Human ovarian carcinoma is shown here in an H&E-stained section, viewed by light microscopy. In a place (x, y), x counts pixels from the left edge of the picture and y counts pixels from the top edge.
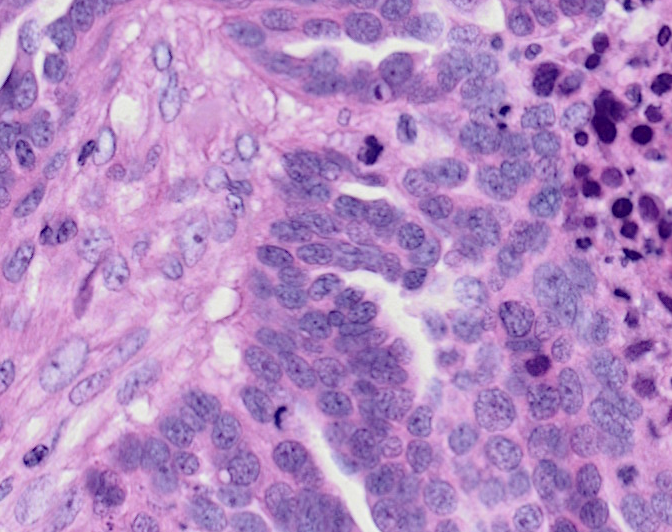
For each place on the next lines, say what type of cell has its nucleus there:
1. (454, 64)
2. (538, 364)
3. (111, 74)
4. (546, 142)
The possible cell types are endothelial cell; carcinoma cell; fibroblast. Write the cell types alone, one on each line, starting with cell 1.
carcinoma cell
carcinoma cell
fibroblast
carcinoma cell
